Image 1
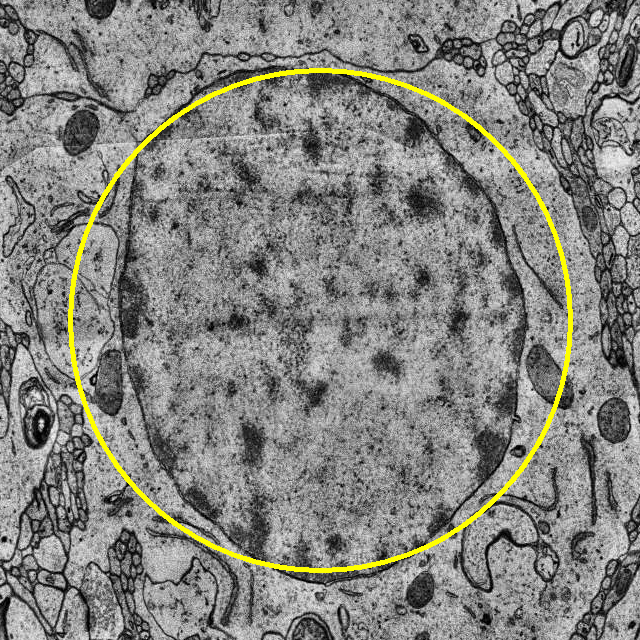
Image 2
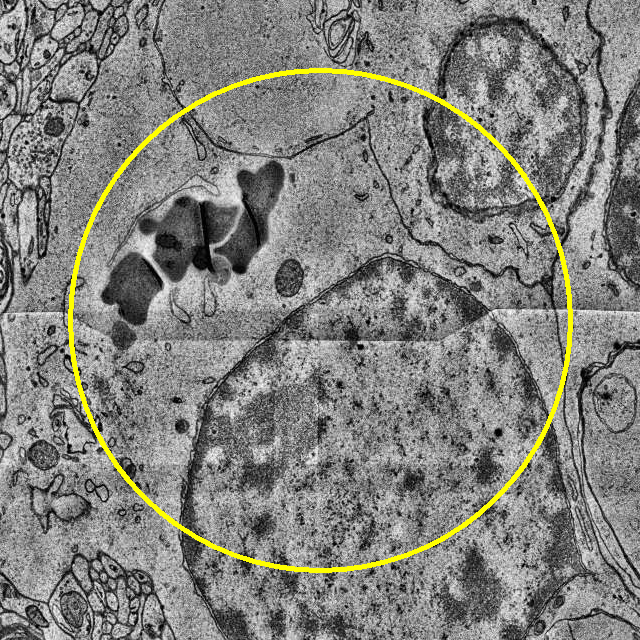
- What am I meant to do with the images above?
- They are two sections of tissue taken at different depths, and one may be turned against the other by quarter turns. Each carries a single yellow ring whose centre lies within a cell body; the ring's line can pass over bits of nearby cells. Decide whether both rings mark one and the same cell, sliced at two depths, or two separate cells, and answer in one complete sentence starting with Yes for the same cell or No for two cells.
No, the yellow rings mark two cells that are not the same.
